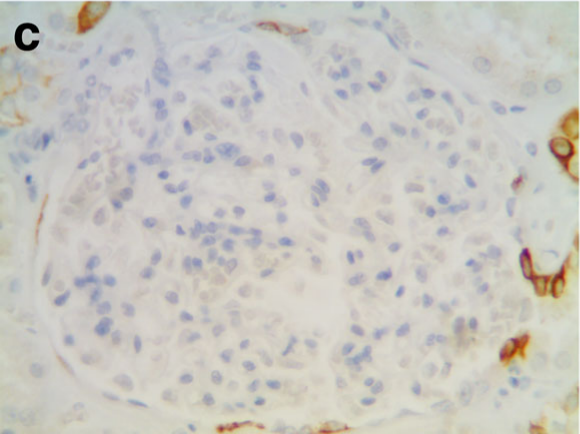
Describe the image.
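A glomerulus in the renal cortex fills the field, its tuft made of many closely packed small blue nuclei of capillary-lining and supporting cells, set in pale pink-grey matrix with faint lobular outlines. The tuft is unstained. A thin capsule surrounds it, separated from the tuft by a narrow clear space. Along this capsule lie flattened cells with thin nuclei, some of which carry patchy brown stain, mostly at the edges of the field. Outside the capsule, cross-sections of tubules are seen, a few with strongly brown-stained lining cells at the right margin.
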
